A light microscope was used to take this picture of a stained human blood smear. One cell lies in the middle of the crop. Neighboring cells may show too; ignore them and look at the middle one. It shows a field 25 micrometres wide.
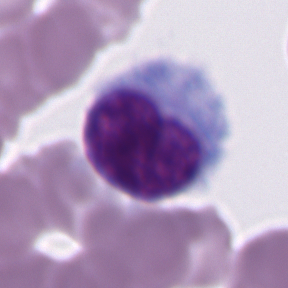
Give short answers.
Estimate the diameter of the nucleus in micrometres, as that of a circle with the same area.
9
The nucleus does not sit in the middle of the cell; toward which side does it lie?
lower left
